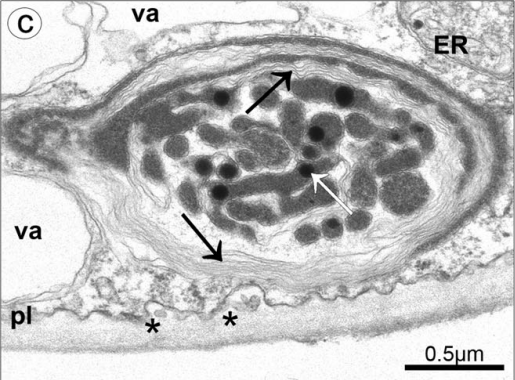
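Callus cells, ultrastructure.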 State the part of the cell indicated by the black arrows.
System of internal membranes.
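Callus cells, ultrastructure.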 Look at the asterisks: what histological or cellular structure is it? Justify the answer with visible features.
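Vesicles building into plasmalemma. Small rounded pockets along the cell membrane next to the wall. The pockets bulge from the membrane edge.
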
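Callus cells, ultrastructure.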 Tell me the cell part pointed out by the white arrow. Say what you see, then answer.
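Plastoglobuli. Small round black dots scattered among grey tubular profiles inside an oval organelle. The dots are darker and more uniform than the surrounding matrix.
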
